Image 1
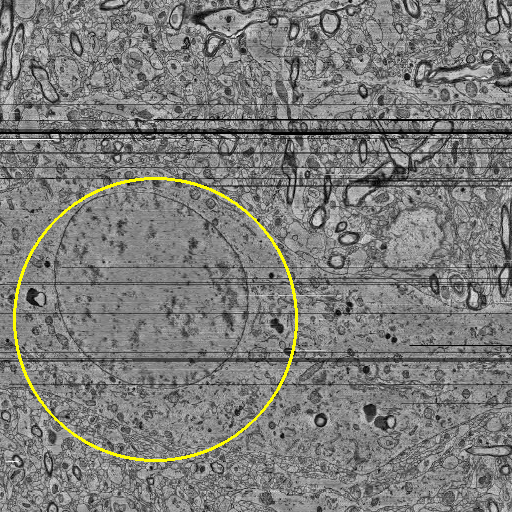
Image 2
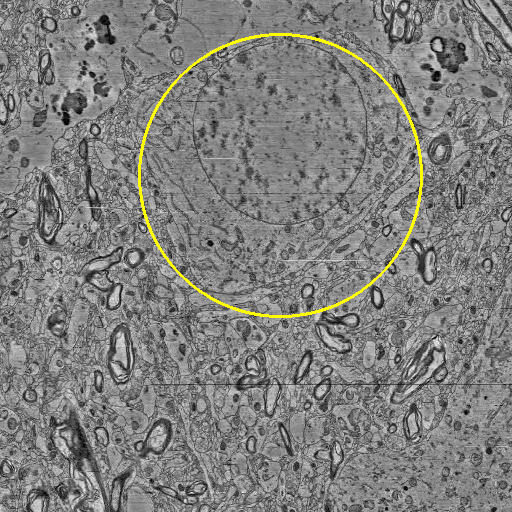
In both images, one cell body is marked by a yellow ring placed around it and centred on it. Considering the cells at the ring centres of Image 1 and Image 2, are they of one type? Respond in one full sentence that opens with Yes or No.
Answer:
Yes, a single type applies to the ring-centred cells of both Image 1 and Image 2.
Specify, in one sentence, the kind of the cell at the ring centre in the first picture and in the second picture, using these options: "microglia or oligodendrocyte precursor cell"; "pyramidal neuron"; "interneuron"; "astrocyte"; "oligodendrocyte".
In each picture the ringed cell is a pyramidal neuron.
